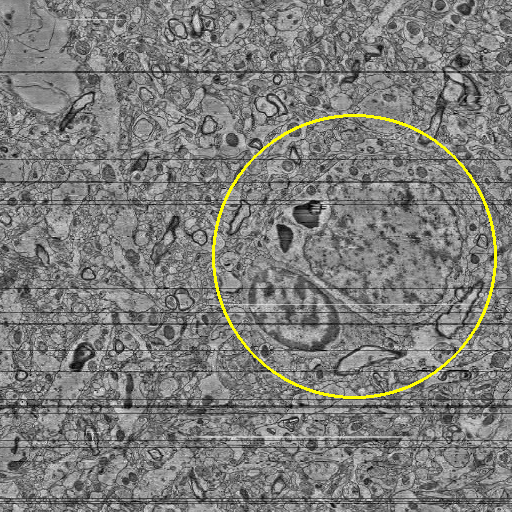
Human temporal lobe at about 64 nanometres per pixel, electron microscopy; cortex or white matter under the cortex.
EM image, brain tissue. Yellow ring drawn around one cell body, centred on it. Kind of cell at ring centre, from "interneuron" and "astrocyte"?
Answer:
interneuron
